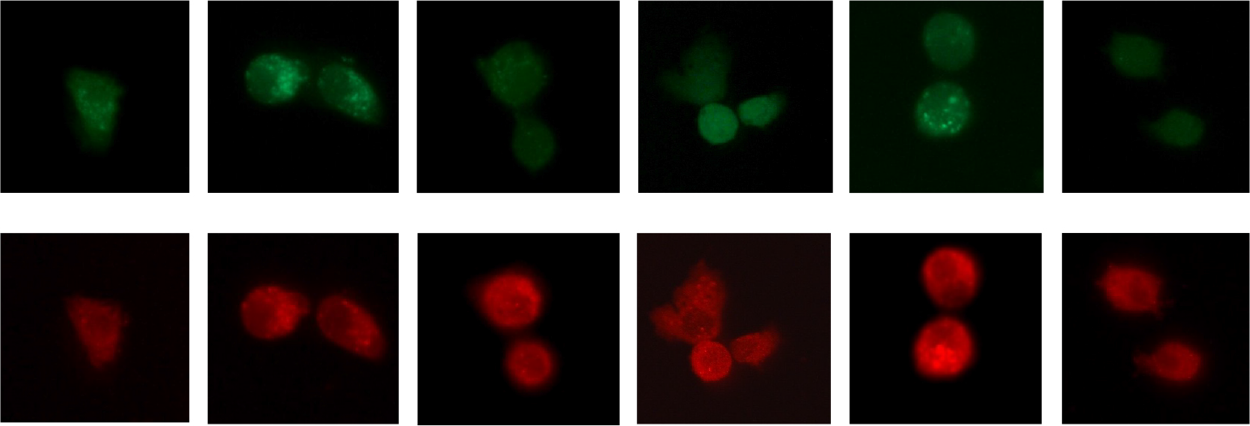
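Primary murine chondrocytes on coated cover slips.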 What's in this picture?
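The cells are small and rounded to oval, some slightly spread or irregular, lying singly or touching in twos or threes on a dark background. The red signal fills the cells more evenly and is brighter in some tiles than in others, sometimes with a granular look. The nuclei are not stained separately.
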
